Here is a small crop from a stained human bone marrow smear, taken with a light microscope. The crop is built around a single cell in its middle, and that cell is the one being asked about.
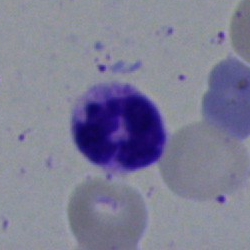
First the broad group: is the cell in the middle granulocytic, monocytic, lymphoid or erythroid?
granulocytic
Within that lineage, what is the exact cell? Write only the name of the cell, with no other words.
segmented neutrophil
